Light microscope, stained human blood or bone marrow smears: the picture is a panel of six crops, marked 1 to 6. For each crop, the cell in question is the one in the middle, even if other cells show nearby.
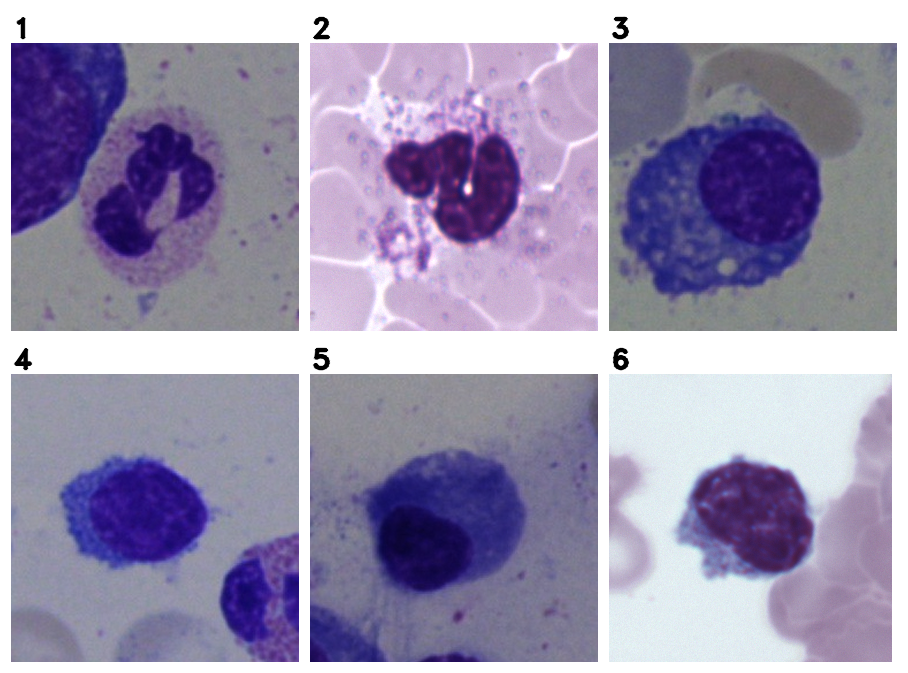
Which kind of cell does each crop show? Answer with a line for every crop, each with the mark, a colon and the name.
1: segmented neutrophil
2: segmented neutrophil
3: plasma cell
4: lymphocyte
5: plasma cell
6: lymphocyte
